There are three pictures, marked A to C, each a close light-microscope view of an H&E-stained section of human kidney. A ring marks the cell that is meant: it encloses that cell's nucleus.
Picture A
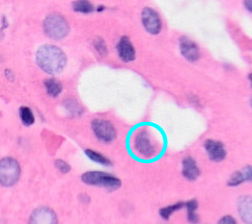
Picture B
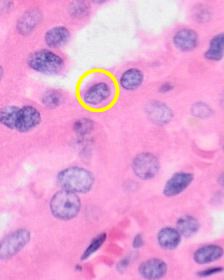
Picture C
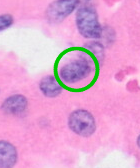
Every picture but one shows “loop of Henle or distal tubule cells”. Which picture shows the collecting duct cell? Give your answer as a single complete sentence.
Picture C is the one that shows the collecting duct cell.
